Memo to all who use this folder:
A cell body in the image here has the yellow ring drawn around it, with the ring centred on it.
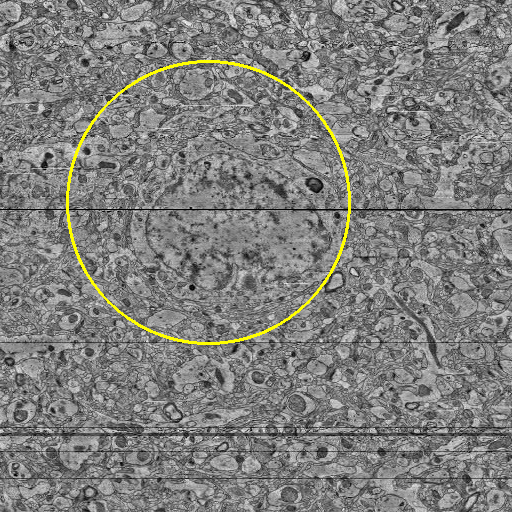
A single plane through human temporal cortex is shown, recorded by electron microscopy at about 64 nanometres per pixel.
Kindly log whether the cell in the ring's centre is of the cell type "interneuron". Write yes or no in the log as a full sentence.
Yes, logged: the ring in this image is centred on a cell of that type.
